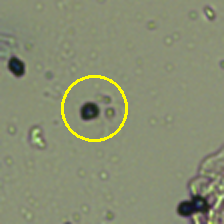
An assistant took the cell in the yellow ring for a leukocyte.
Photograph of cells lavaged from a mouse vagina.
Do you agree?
I agree, it is a leukocyte.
